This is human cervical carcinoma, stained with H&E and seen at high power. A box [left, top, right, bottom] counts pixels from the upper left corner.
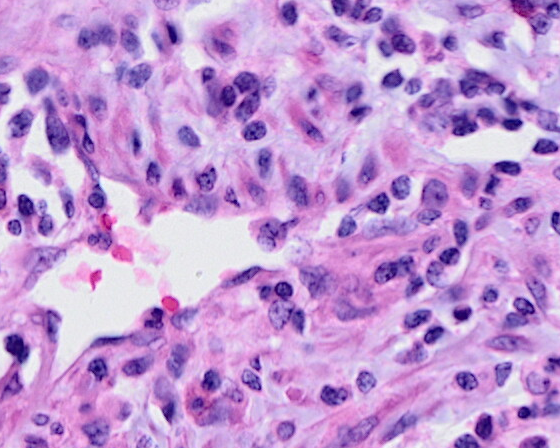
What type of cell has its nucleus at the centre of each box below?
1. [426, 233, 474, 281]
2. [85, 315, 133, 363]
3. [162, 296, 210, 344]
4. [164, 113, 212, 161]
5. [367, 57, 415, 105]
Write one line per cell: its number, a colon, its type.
1: lymphocyte
2: endothelial cell
3: endothelial cell
4: lymphocyte
5: lymphocyte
